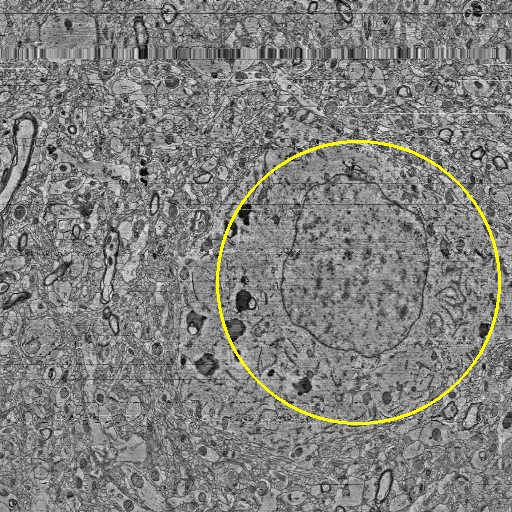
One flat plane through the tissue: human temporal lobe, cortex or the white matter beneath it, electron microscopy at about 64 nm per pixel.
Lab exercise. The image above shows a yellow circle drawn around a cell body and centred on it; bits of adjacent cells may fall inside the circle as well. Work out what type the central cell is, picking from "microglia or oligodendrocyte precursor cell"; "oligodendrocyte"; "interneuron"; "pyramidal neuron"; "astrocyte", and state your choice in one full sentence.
In the image above, the cell at the centre of the yellow circle is a pyramidal neuron.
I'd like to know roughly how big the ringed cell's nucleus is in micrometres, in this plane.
In this plane, approximately 12 by 10 micrometers.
